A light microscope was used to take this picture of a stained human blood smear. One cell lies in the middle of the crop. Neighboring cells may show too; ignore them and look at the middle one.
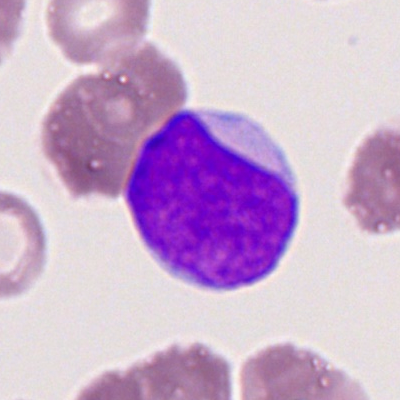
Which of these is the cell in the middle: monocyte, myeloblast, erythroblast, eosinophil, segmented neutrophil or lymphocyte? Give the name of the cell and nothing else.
myeloblast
